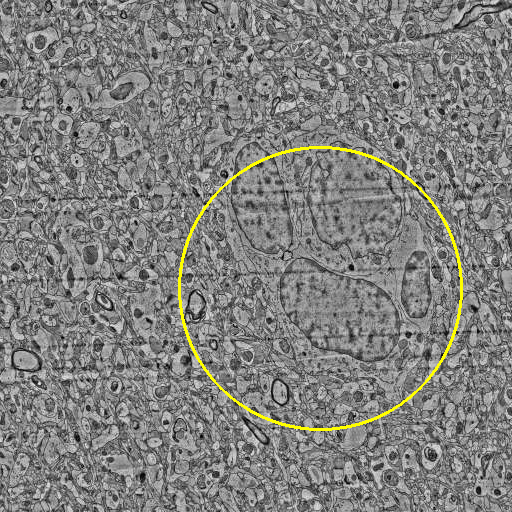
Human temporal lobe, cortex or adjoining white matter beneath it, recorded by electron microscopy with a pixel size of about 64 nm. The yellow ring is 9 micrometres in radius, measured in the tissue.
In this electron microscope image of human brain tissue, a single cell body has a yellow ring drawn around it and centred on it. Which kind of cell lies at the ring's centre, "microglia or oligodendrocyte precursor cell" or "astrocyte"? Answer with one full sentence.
It is a microglial cell or oligodendrocyte precursor cell whose cell body lies at the centre of the yellow ring here.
